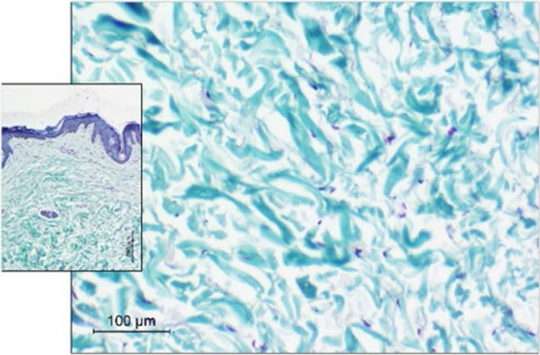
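This is the dermis of skin, made of interlacing collagen bundles stained blue-green. The bundles are wavy and irregular, of varied thickness, and run in several directions with pale spaces between them. Small, dark purple, elongated nuclei, likely of fibroblasts, are scattered sparsely among the fibres. No epidermis appears in the main field. The inset at lower power shows the skin surface, with a purple-stained epidermis with undulating downgrowths over a paler blue-green dermis containing a small vessel-like profile.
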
